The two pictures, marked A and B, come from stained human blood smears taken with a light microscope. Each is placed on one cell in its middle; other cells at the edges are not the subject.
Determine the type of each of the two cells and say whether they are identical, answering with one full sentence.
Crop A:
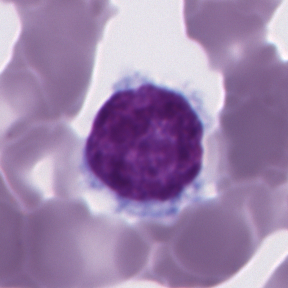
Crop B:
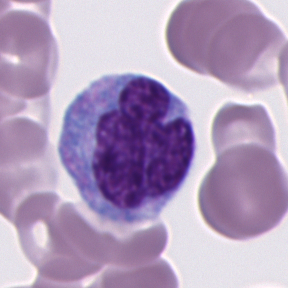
No, a hairy cell and a monocyte are found in crop A and crop B, respectively.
